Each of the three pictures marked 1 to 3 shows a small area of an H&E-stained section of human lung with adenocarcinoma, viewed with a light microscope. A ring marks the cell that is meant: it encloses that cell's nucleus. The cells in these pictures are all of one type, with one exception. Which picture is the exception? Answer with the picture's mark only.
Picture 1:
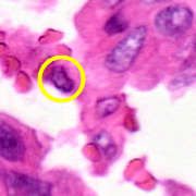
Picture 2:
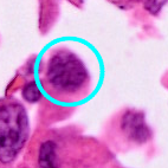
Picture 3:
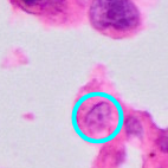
2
